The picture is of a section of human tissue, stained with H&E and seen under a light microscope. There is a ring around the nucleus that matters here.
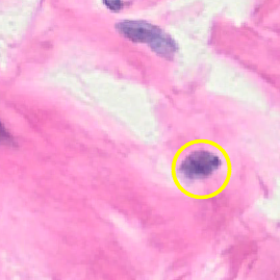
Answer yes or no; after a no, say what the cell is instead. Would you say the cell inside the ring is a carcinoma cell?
No, it is a fibroblast.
